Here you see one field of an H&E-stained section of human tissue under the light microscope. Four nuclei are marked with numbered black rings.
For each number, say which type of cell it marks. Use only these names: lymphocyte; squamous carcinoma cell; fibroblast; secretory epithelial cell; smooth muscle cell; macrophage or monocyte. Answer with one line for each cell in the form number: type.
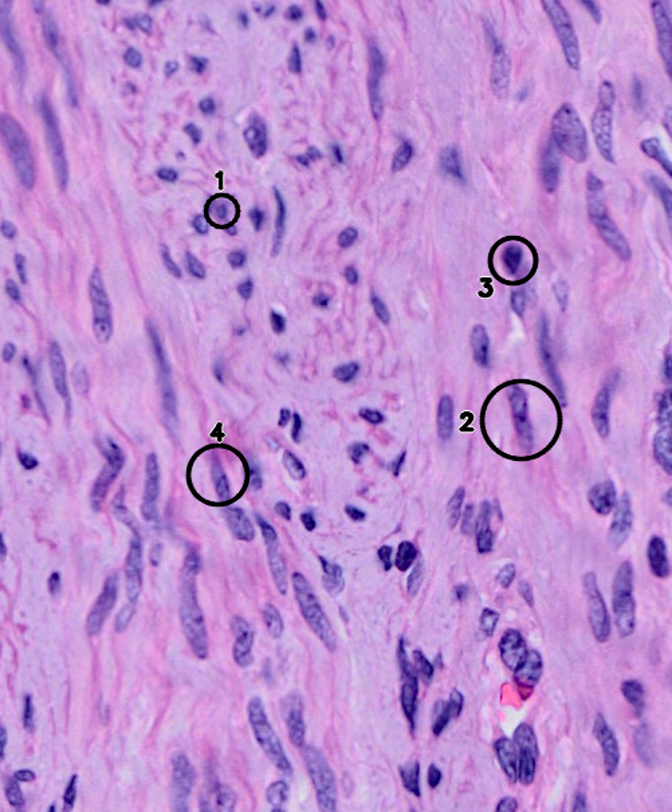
1: smooth muscle cell
2: smooth muscle cell
3: lymphocyte
4: smooth muscle cell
